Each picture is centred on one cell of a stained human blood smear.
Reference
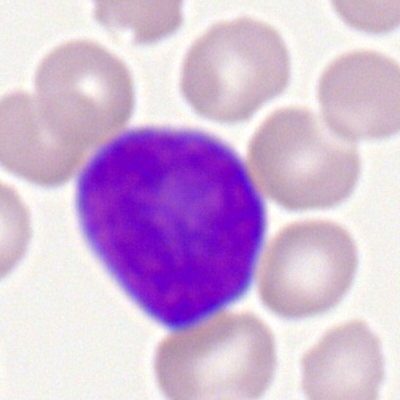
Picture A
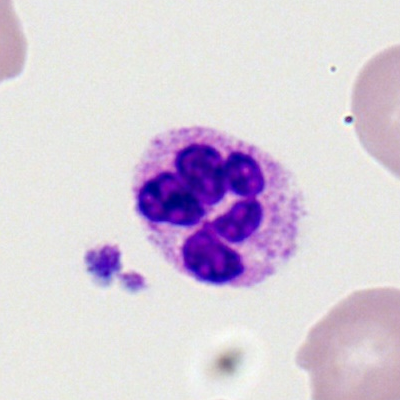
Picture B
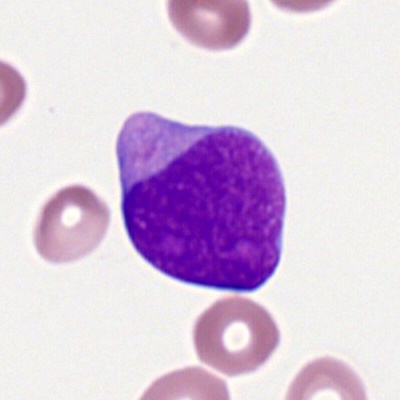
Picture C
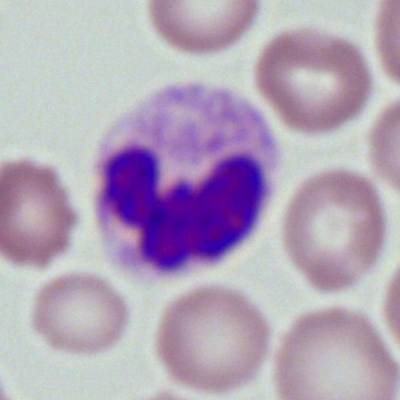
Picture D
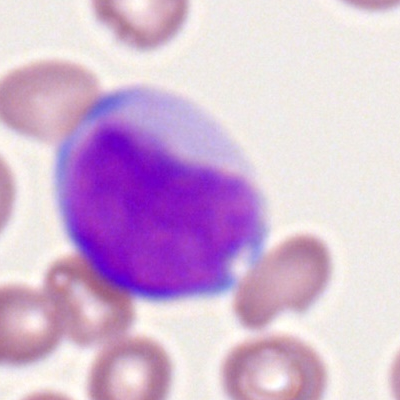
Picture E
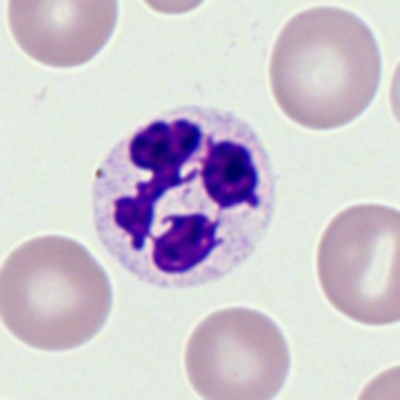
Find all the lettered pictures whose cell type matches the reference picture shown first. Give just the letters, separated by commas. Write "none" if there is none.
B, D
